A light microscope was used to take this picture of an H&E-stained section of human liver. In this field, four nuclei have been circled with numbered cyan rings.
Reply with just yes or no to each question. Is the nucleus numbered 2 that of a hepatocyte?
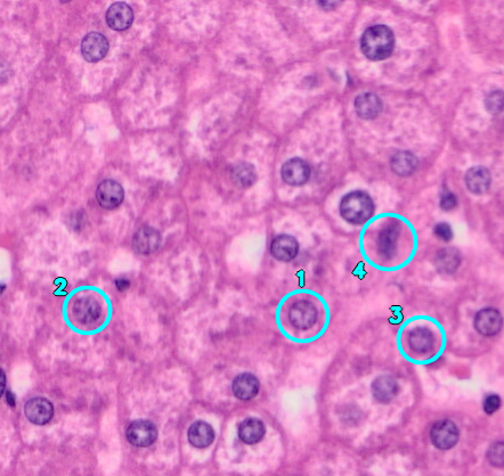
yes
